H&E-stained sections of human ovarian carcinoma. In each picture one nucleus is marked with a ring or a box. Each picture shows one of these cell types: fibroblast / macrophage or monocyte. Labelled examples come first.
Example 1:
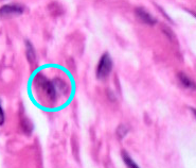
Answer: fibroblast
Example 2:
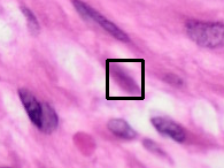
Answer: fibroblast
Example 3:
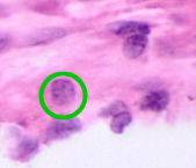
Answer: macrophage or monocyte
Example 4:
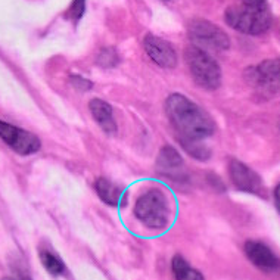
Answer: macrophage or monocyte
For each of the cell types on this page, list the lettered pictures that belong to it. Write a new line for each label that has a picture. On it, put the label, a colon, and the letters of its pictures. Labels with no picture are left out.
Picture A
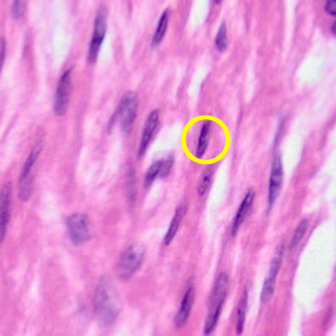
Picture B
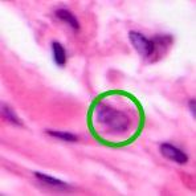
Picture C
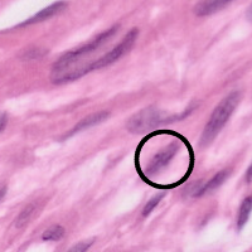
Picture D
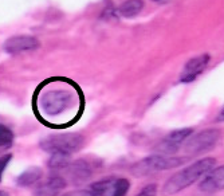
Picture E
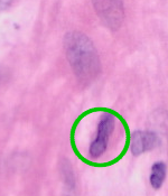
fibroblast: A, B, C, E
macrophage or monocyte: D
